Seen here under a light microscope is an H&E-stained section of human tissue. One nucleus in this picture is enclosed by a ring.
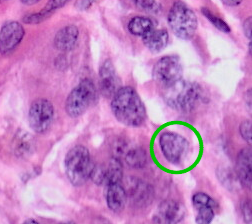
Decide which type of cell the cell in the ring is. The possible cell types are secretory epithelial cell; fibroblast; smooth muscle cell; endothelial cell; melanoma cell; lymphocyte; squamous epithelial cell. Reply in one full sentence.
The cell in the ring appears to be a melanoma cell.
